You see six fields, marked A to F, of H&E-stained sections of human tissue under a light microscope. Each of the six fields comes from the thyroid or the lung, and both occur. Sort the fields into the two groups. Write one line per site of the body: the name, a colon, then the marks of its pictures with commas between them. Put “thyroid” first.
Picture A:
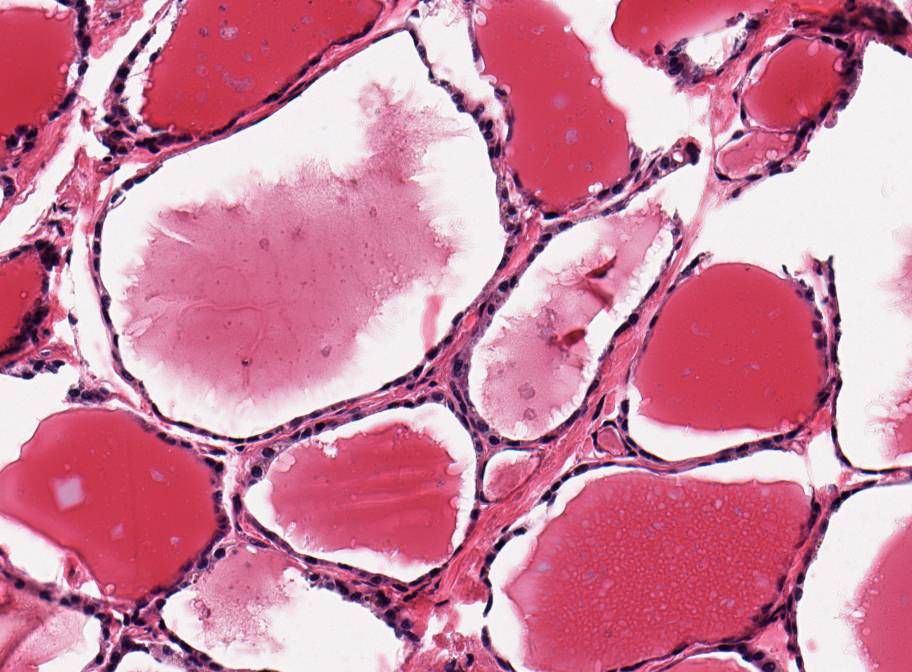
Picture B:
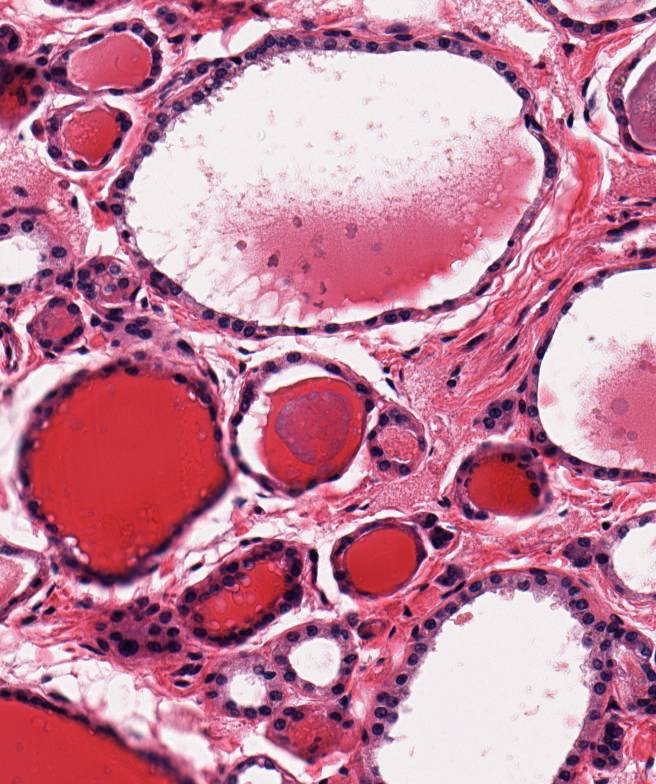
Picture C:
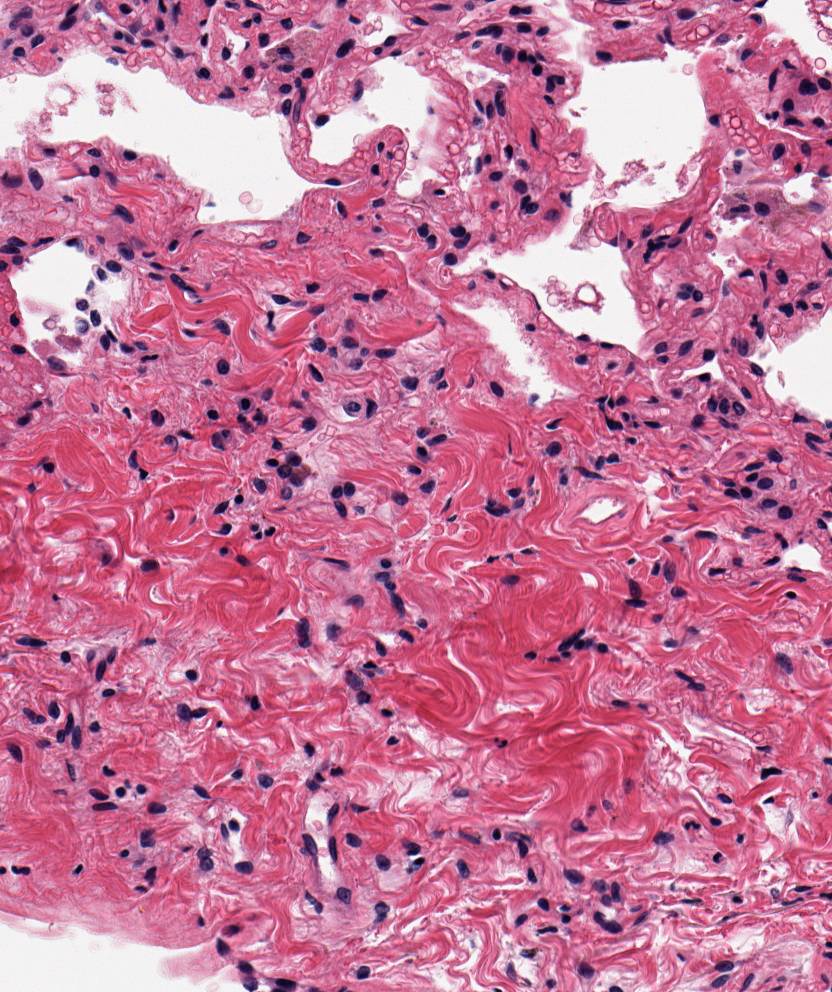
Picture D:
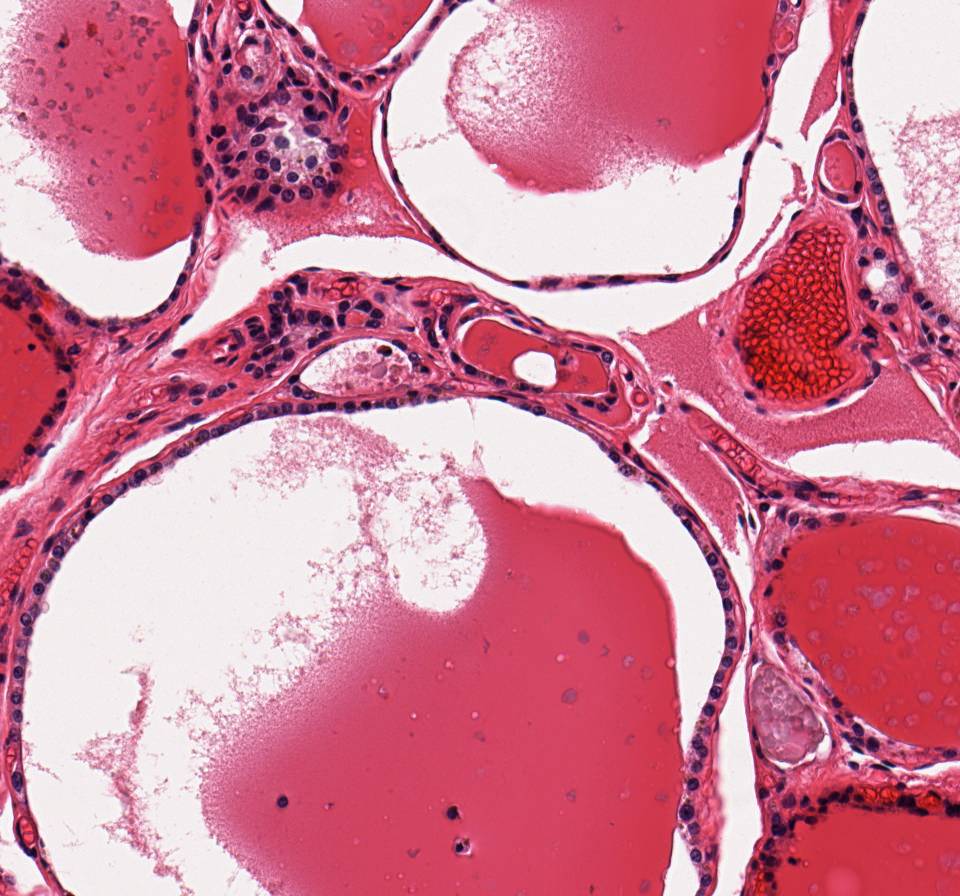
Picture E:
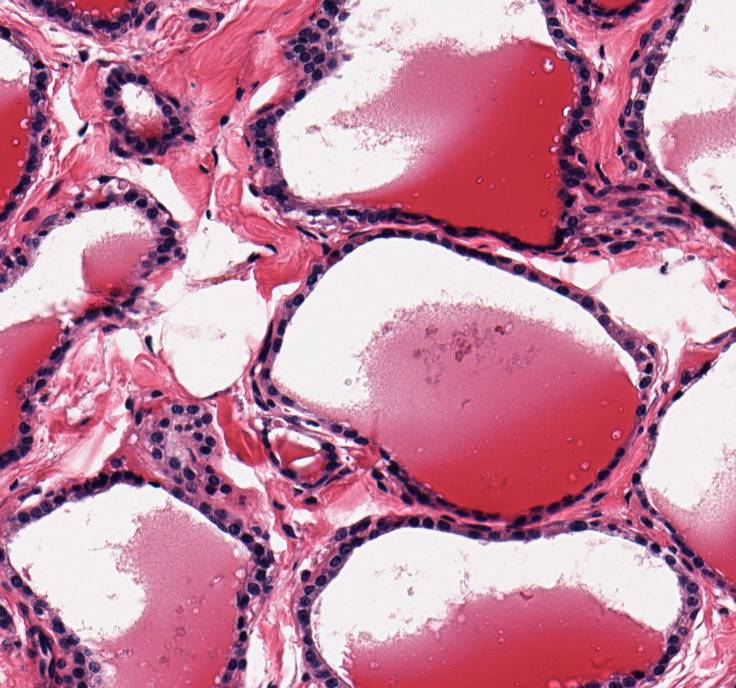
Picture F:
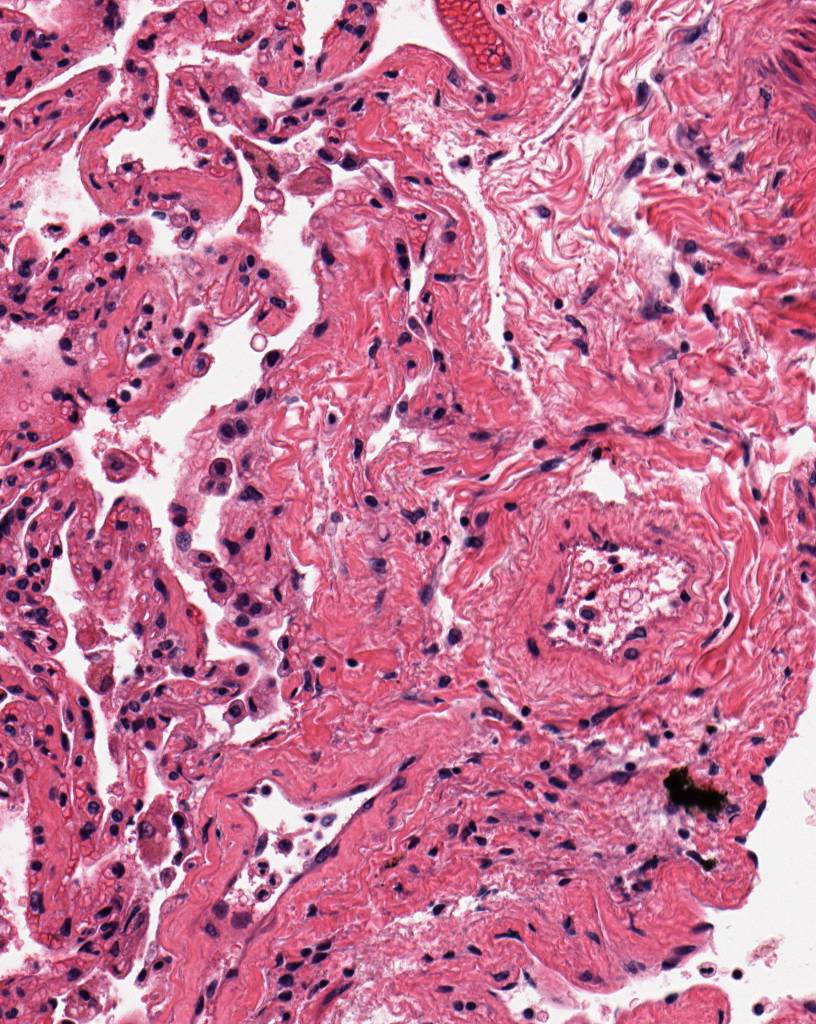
thyroid: A, B, D, E
lung: C, F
